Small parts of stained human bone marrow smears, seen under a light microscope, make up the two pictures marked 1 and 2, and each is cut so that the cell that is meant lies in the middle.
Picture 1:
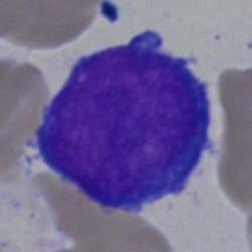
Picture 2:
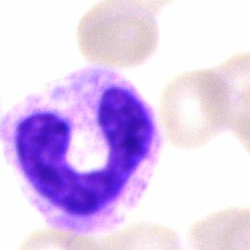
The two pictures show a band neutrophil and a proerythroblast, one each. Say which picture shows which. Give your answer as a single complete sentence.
It is picture 1 that shows a proerythroblast, and picture 2 that shows a band neutrophil.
